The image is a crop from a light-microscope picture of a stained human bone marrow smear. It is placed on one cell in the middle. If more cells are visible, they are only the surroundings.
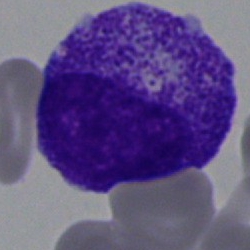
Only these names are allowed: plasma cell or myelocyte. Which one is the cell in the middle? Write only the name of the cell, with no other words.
myelocyte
